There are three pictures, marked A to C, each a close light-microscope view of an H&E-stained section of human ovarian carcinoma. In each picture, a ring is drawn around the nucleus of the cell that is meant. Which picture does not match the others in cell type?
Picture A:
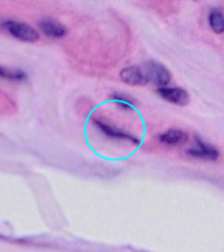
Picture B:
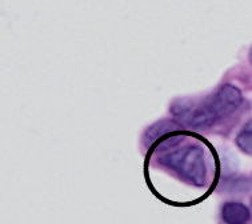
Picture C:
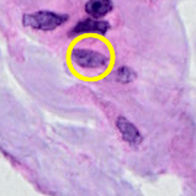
B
